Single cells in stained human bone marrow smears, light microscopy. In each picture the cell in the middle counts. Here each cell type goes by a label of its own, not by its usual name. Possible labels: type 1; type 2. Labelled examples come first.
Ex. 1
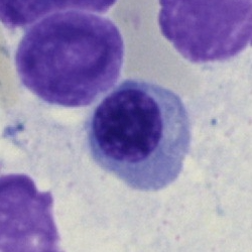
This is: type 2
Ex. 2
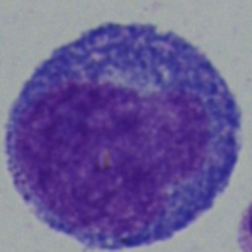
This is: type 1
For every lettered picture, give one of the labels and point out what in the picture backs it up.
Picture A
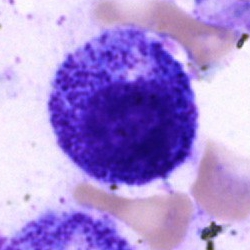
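type 1. Evidence: The cell is crowded with coarse dark purple granules.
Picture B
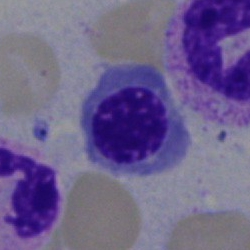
type 2. Evidence: The chromatin is dark purple and coarsely clumped, with small pale gaps between the clumps.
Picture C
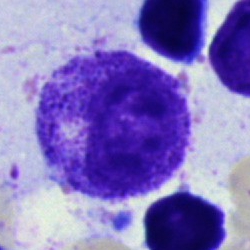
type 1. Evidence: Many purple granules fill the cytoplasm and also lie over the nucleus.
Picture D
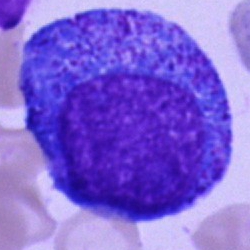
type 1. Evidence: The chromatin looks finely stippled rather than clumped into dark blocks.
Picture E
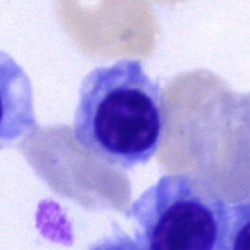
type 2. Evidence: The chromatin is dark purple and coarsely clumped.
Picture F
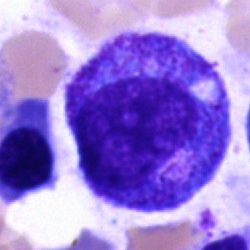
type 1. Evidence: The chromatin is finely stippled rather than coarsely clumped.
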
